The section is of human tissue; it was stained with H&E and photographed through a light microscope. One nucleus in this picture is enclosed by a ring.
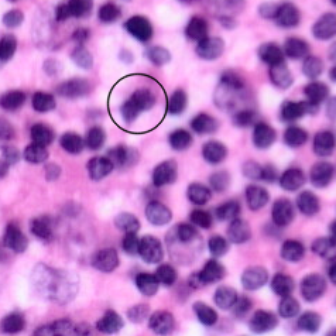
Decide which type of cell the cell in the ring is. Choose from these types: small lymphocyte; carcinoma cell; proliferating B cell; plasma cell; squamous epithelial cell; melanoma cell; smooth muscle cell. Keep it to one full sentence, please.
In terms of identity, the cell in the ring is a proliferating B cell.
